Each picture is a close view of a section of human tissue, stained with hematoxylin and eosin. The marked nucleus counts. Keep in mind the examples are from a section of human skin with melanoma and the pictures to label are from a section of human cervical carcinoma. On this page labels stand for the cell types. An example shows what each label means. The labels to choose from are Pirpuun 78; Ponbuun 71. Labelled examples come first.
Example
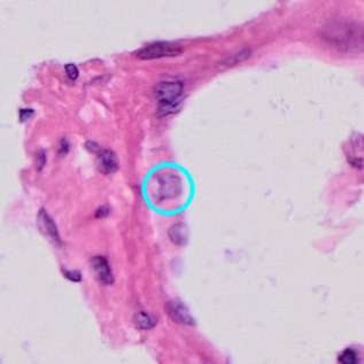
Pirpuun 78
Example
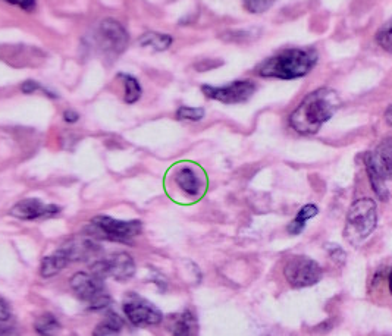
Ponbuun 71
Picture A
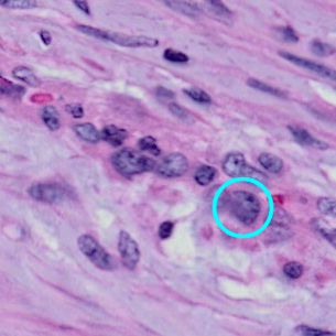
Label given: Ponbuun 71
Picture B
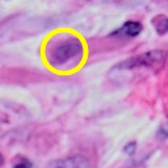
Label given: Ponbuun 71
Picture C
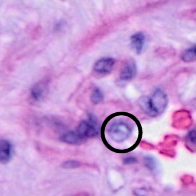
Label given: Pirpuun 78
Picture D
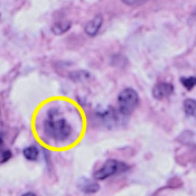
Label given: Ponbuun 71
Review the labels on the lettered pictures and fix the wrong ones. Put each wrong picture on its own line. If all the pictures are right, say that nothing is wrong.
A should be Pirpuun 78, not Ponbuun 71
